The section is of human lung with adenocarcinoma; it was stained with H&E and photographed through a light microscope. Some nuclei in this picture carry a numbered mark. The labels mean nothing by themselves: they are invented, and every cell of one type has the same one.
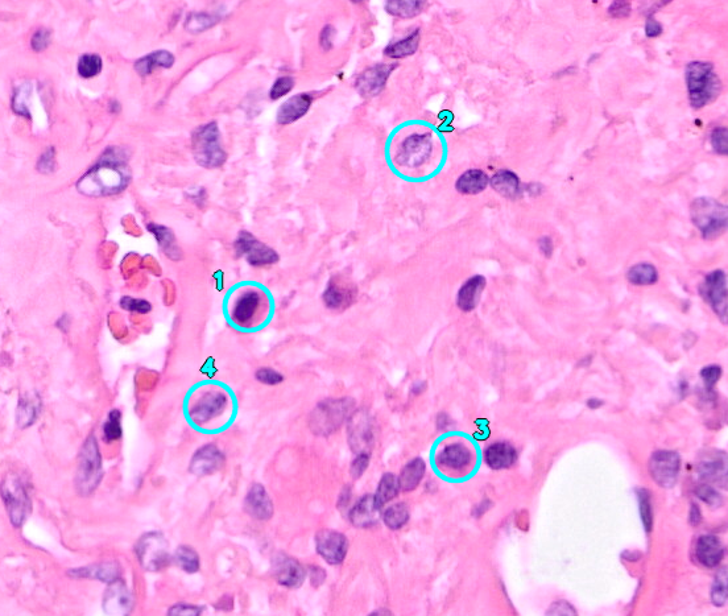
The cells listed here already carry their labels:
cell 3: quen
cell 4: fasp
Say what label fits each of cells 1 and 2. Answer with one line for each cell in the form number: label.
1: quen
2: fasp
